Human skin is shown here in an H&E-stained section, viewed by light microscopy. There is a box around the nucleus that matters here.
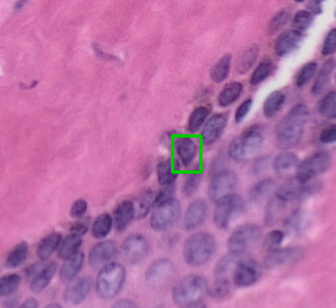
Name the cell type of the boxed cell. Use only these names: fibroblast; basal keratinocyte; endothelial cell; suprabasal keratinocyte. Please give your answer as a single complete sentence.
In this tissue sample, the boxed cell is a basal keratinocyte.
